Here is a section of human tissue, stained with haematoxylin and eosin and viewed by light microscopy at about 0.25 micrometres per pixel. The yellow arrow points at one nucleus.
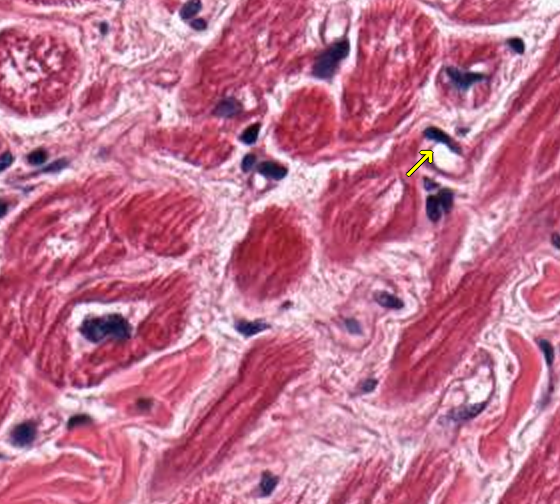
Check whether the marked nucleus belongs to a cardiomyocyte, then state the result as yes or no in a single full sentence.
No, not to a cardiomyocyte does the marked nucleus belong, but to a supporting cell.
